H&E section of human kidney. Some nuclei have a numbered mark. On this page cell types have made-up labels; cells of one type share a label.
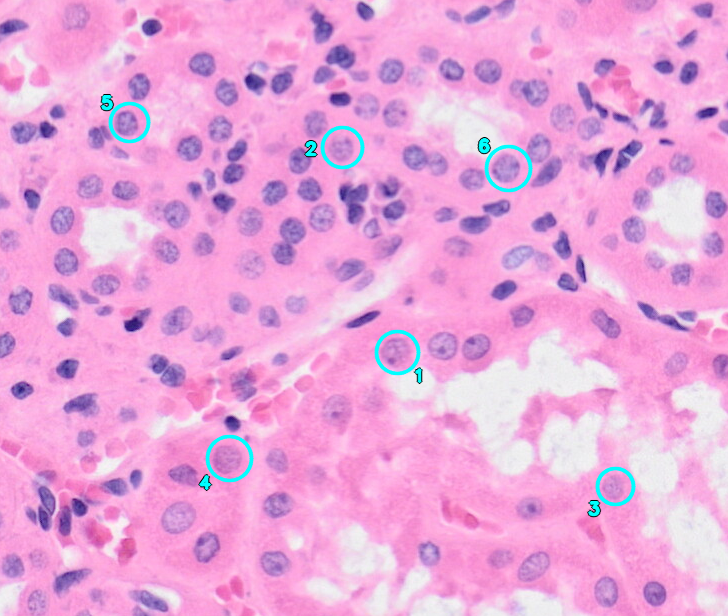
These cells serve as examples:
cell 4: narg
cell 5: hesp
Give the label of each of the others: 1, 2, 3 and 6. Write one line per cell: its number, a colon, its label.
1: narg
2: hesp
3: narg
6: hesp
